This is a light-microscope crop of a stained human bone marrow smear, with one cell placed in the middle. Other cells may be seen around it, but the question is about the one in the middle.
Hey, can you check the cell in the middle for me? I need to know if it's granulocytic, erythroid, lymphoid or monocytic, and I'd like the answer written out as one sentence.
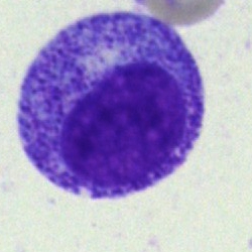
The cell at the center of the crop derives from the granulocytic lineage.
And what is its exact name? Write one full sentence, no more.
The cell in the middle of this crop is a myelocyte.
